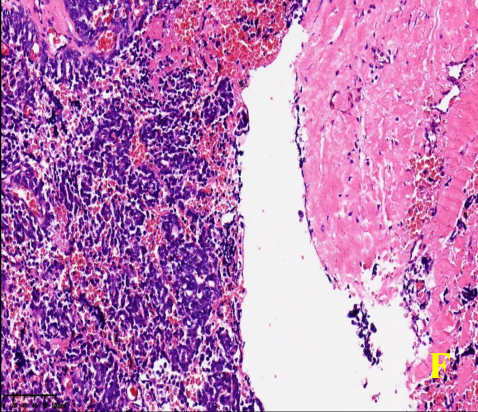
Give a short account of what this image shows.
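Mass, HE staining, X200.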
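Numerous red blood cells lie scattered among the tumor cells, forming patches of bleeding. A clear, empty space runs vertically through the middle of the field. On the right lies pale pink, loosely fibrous tissue with fewer nuclei and further small collections of red blood cells.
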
